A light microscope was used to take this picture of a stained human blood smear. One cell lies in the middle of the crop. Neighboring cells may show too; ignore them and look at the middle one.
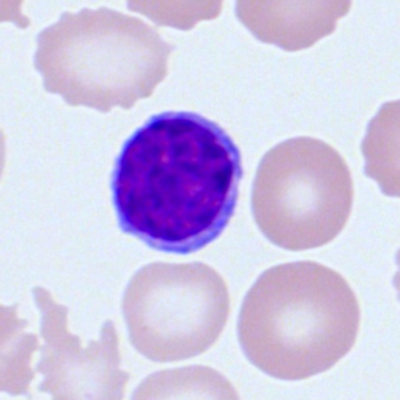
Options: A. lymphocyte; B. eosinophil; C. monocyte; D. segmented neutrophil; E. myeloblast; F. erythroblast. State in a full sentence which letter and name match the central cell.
Correctly, option A names the cell in the middle a lymphocyte.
